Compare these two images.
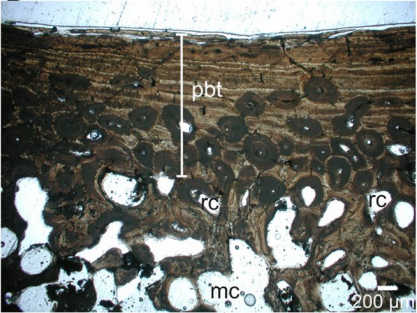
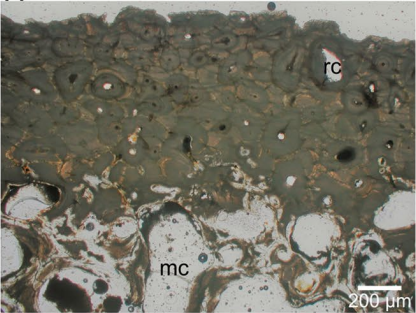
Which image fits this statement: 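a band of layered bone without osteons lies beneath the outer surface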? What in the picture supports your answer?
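Second image: round osteon-like profiles and canals reach up to the outer surface. First image: the outer part of the cortex is a band of parallel layers free of round osteons, with osteons only deeper. The answer: the first image.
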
